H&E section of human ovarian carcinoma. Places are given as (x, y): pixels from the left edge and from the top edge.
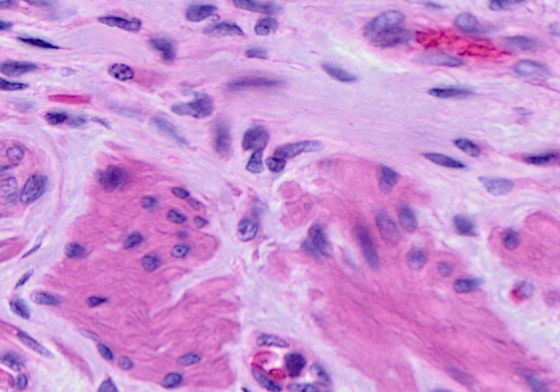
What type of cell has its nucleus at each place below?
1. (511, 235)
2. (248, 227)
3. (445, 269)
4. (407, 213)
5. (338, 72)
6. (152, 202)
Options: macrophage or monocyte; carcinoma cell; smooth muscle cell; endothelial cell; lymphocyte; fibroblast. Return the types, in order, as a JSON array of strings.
["smooth muscle cell", "endothelial cell", "smooth muscle cell", "smooth muscle cell", "fibroblast", "smooth muscle cell"]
